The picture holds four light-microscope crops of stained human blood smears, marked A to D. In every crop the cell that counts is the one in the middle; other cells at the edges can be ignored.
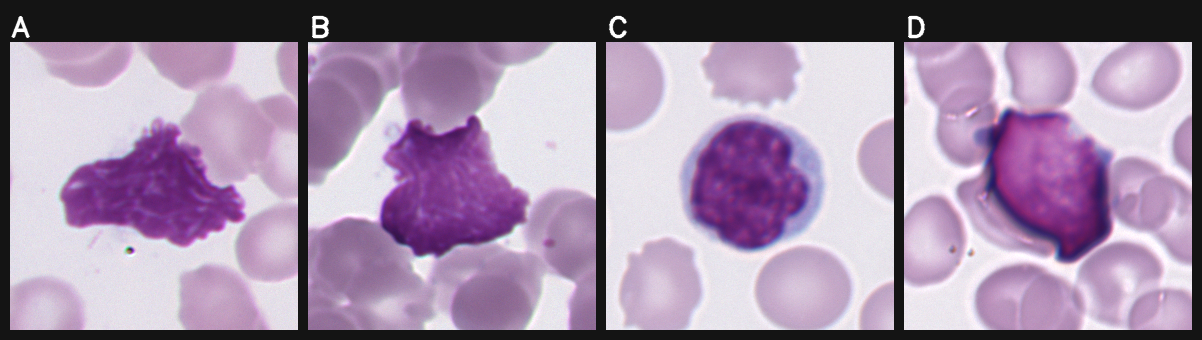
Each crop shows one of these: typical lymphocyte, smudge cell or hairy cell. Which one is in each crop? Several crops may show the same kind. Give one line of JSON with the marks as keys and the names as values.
{"A": "smudge cell", "B": "smudge cell", "C": "typical lymphocyte", "D": "typical lymphocyte"}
